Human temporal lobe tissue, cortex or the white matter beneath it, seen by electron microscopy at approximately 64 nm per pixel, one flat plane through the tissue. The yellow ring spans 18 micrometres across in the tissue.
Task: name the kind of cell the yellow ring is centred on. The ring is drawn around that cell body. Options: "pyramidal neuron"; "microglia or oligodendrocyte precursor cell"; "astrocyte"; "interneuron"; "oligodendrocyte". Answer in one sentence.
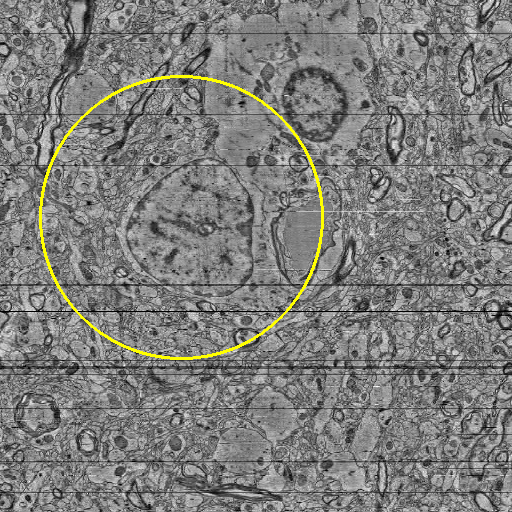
This cell body belongs to a microglial cell or oligodendrocyte precursor cell.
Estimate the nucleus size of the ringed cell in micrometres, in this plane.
The nucleus works out at approximately 10 by 8 micrometres in this plane.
